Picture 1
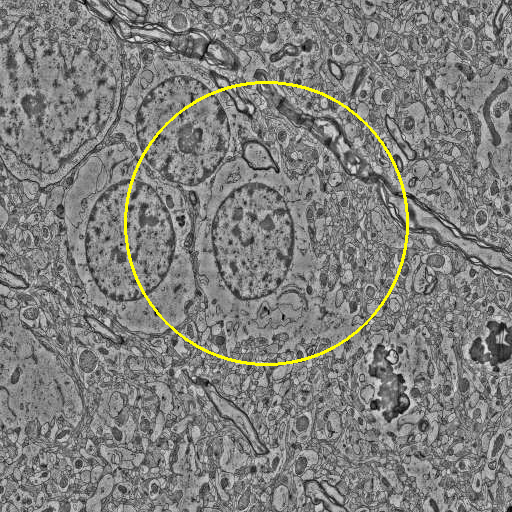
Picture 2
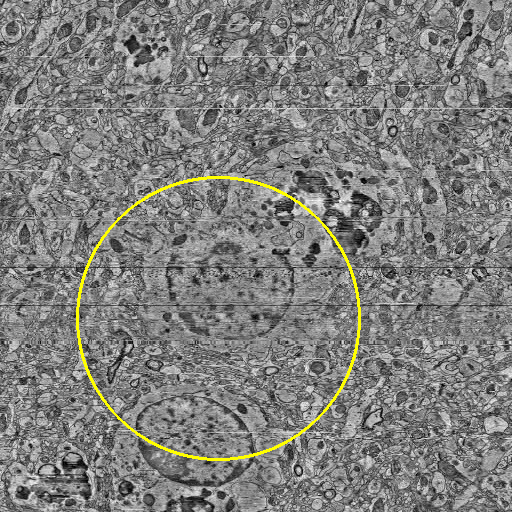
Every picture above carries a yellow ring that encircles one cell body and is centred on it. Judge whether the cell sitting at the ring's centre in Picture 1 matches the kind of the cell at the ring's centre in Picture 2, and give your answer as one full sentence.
Yes, the cells centred in the rings of Pictures 1 and 2 belong to one kind.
